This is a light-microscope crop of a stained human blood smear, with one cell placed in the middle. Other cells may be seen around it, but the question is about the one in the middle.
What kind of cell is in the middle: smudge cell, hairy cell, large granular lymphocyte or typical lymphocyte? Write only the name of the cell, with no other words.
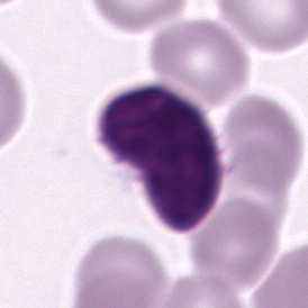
smudge cell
